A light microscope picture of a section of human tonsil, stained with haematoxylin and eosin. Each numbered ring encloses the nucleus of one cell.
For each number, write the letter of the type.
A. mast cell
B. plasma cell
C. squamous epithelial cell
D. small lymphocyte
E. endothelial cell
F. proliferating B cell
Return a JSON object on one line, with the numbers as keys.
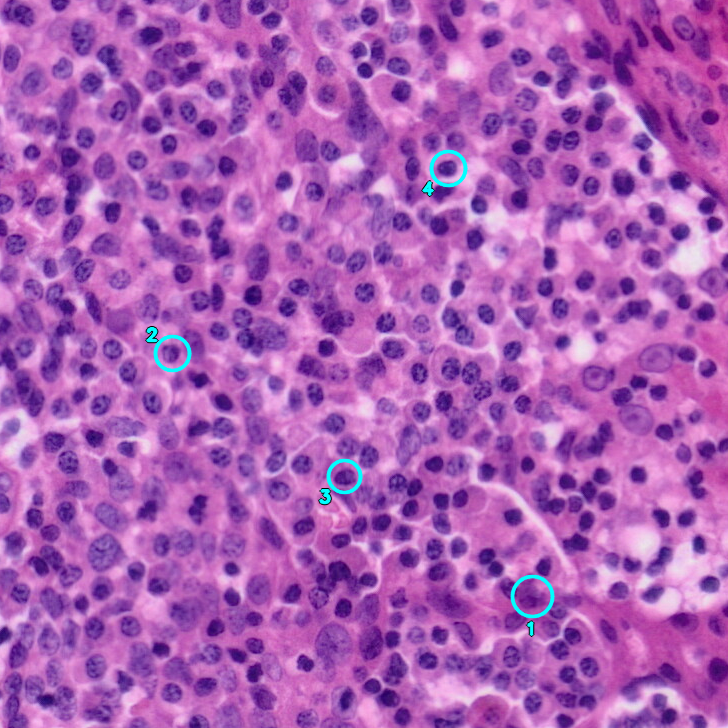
{"1": "C", "2": "B", "3": "B", "4": "B"}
